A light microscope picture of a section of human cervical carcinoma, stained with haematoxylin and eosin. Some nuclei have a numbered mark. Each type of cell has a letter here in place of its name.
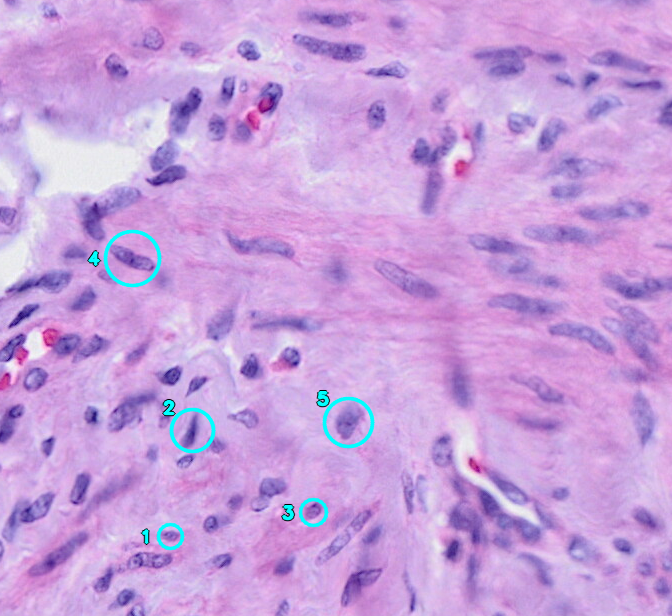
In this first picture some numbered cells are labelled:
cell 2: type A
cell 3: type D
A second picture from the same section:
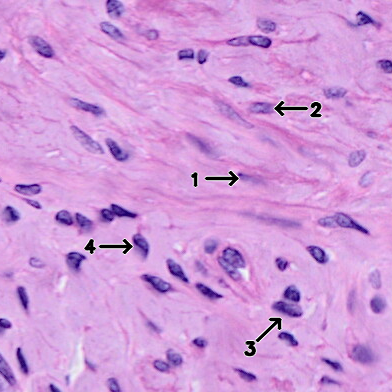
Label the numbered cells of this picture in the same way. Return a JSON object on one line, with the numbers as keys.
{"1": "type D", "2": "type D", "3": "type A", "4": "type A"}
